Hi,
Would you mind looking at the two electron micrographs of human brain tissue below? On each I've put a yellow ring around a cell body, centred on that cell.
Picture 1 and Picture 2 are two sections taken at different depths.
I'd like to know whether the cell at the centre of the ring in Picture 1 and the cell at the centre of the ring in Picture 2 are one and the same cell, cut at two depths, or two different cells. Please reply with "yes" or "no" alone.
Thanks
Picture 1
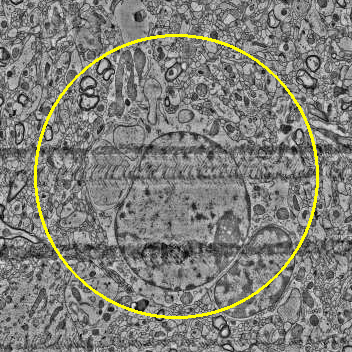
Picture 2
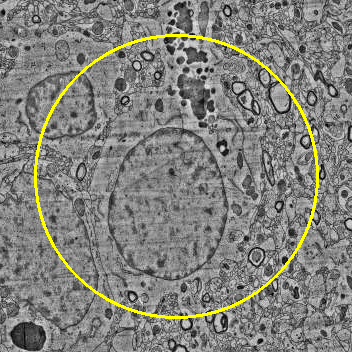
no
